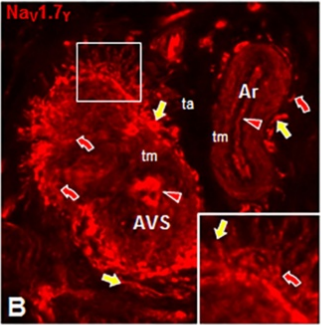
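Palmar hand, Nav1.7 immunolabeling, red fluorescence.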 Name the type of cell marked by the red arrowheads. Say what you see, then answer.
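Endothelial cells of the tunica intima. The arrowheads point to the thin innermost lining bordering the vessel lumens. This lining lies inside the thicker muscular wall.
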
